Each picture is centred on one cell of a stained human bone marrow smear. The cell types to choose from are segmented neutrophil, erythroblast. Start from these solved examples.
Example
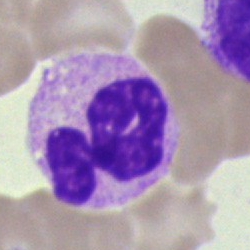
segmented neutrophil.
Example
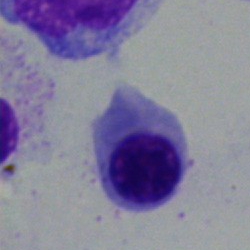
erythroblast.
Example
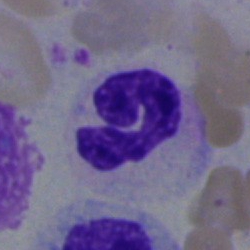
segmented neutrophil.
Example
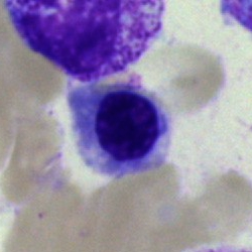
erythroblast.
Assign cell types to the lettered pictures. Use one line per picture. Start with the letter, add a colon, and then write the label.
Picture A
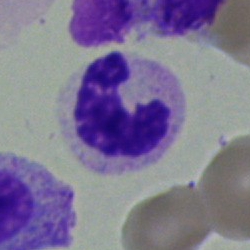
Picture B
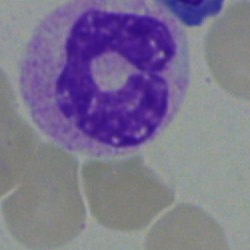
A: segmented neutrophil.
B: segmented neutrophil.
